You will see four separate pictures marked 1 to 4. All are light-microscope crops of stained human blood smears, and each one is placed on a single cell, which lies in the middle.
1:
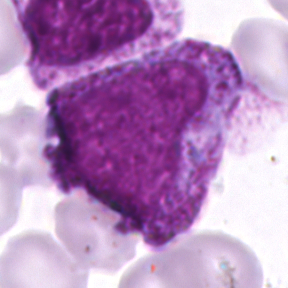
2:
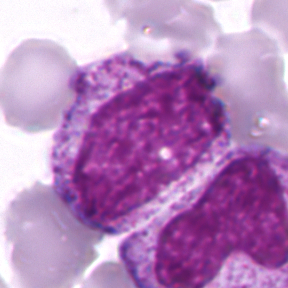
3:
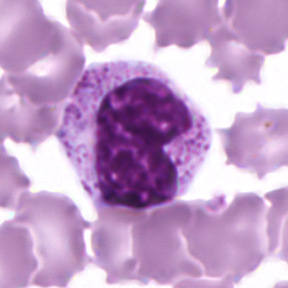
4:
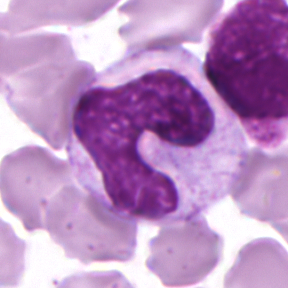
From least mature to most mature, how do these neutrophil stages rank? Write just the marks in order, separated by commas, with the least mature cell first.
1, 2, 3, 4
